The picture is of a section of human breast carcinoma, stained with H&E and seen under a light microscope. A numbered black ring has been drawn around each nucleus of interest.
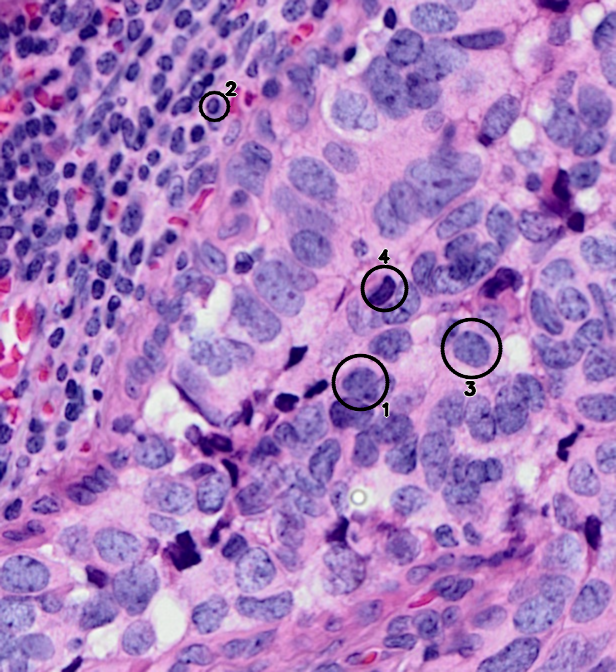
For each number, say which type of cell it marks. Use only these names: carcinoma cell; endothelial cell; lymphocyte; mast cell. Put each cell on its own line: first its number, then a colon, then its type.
1: carcinoma cell
2: lymphocyte
3: carcinoma cell
4: carcinoma cell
